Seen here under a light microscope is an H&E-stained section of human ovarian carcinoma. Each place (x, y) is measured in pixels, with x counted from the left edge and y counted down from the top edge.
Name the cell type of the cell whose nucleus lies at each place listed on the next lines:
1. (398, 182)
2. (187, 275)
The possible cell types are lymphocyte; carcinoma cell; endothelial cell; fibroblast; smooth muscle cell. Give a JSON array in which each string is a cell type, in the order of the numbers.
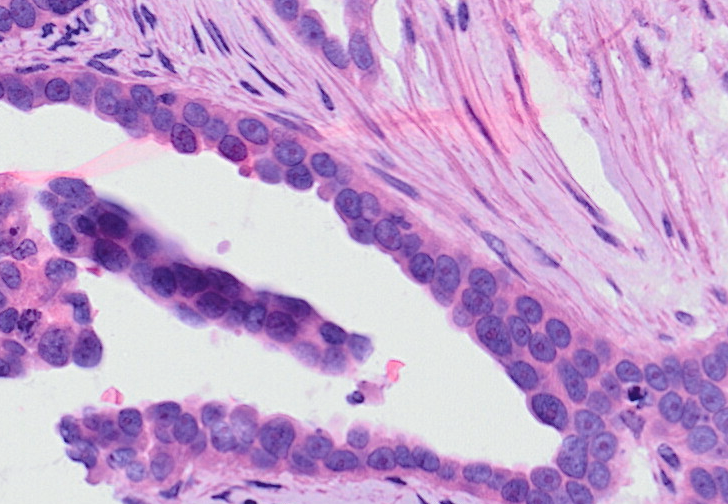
["fibroblast", "carcinoma cell"]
